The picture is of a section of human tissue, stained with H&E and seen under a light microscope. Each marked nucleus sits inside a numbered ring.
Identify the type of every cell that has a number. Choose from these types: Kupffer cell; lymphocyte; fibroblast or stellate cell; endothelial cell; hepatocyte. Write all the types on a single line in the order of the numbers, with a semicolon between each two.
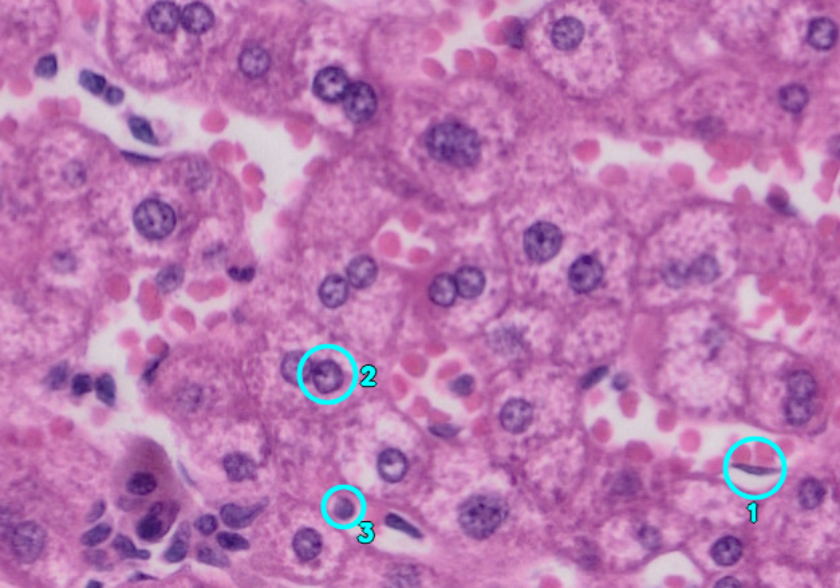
endothelial cell; hepatocyte; lymphocyte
